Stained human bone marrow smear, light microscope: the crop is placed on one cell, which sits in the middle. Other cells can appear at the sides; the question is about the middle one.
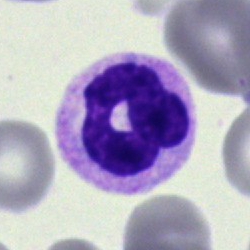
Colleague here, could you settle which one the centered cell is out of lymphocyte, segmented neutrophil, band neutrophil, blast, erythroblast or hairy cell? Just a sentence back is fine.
Regarding the central cell, it is a segmented neutrophil.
